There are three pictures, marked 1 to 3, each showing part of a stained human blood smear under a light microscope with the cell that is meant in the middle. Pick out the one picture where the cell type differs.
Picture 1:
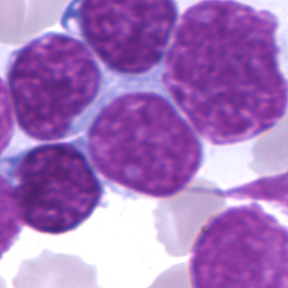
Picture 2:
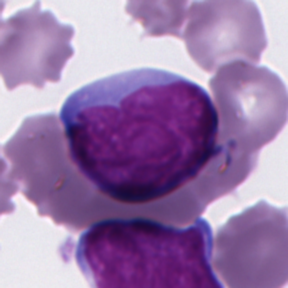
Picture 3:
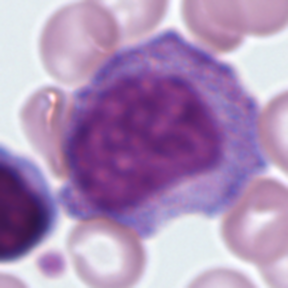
3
